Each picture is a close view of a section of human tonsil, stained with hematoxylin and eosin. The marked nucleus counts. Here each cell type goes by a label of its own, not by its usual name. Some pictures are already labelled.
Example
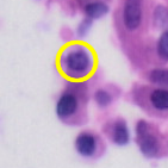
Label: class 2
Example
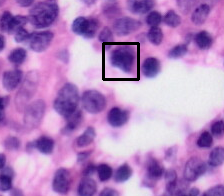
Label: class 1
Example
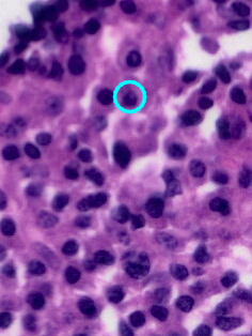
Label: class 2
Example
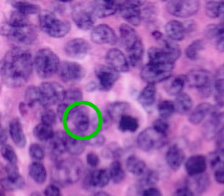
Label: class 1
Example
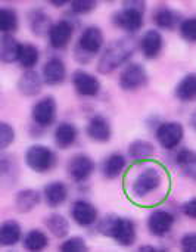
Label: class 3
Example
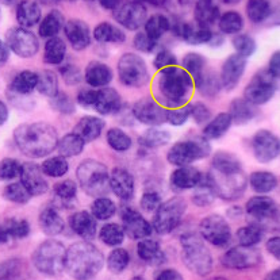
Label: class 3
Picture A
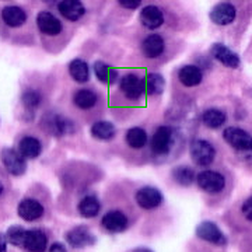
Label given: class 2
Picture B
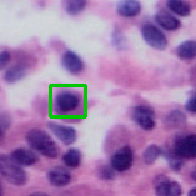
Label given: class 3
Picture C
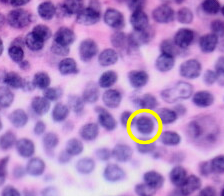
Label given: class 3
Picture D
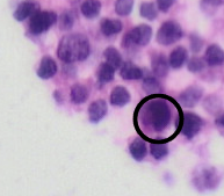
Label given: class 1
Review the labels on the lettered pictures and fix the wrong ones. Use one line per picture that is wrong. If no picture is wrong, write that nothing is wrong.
B is labelled class 3; correct label: class 2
